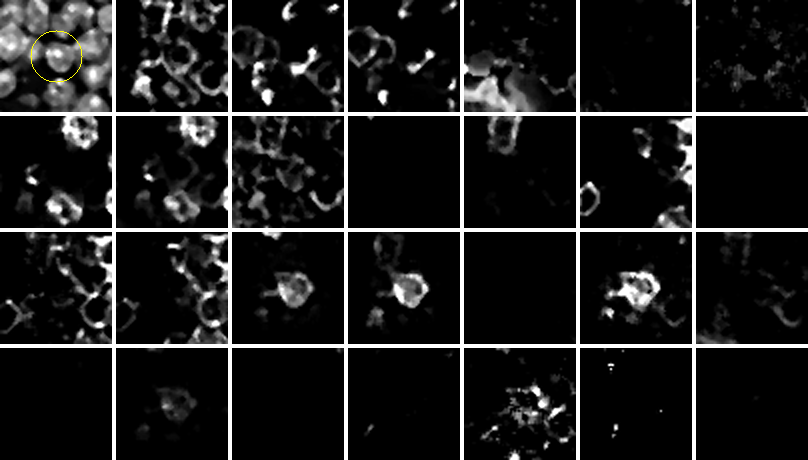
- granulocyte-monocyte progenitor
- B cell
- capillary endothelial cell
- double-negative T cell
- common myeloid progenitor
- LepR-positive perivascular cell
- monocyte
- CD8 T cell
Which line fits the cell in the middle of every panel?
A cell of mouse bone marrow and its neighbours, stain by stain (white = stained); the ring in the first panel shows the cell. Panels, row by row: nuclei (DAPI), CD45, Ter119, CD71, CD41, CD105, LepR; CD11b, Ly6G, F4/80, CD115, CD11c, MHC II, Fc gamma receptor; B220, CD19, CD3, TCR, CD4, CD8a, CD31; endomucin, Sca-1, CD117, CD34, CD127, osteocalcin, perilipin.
CD8 T cell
